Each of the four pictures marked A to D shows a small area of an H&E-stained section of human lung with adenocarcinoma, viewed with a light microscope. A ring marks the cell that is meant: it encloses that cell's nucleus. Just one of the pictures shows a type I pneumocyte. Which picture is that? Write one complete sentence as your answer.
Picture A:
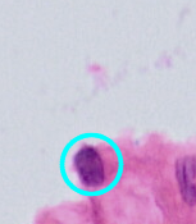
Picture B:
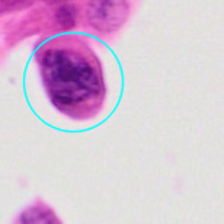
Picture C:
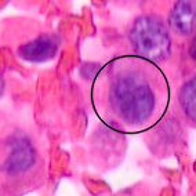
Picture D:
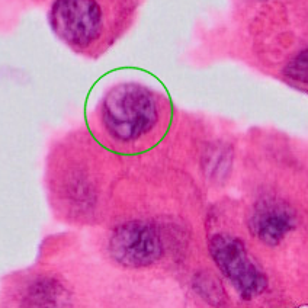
The type I pneumocyte is the one in picture A.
